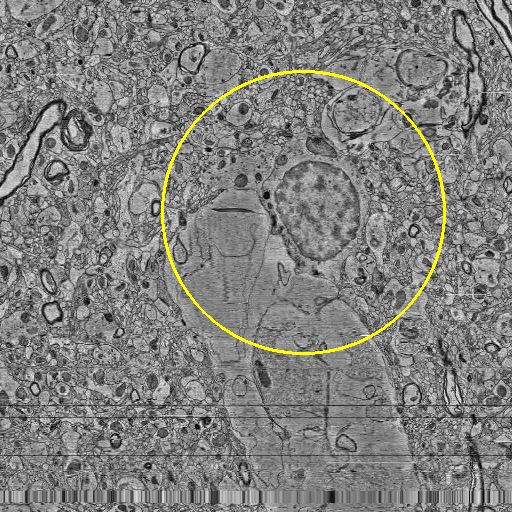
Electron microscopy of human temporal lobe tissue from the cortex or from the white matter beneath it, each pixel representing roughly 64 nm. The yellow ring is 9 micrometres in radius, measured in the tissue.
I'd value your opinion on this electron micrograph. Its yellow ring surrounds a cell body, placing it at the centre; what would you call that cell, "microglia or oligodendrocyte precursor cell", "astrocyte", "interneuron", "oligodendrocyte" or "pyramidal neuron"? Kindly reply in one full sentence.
It is an oligodendrocyte that sits centred within the yellow ring in this micrograph.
